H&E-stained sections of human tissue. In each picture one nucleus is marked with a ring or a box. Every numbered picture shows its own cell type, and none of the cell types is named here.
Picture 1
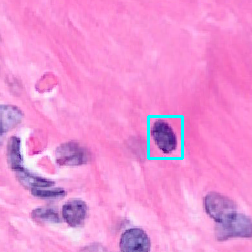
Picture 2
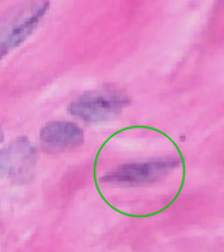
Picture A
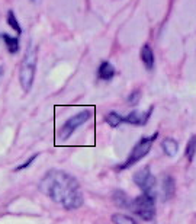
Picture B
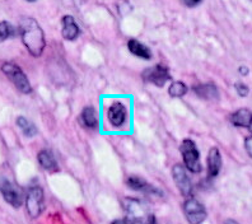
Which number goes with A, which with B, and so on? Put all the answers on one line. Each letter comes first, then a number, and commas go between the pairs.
A 2, B 1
